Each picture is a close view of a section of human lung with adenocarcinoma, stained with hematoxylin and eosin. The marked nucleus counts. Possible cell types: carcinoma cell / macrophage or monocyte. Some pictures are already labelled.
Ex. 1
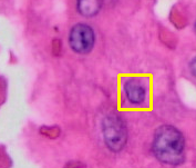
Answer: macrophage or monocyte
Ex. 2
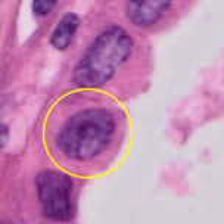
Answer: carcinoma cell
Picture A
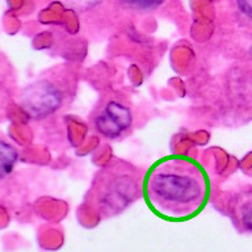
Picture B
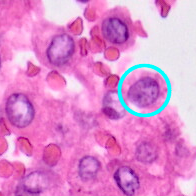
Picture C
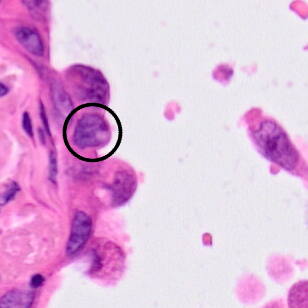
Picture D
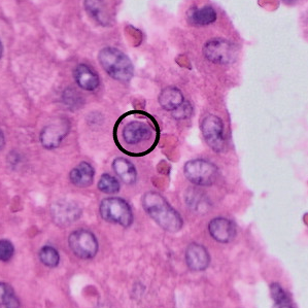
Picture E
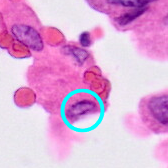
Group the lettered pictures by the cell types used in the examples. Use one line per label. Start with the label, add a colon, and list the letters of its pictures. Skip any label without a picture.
carcinoma cell: C
macrophage or monocyte: A, B, D, E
